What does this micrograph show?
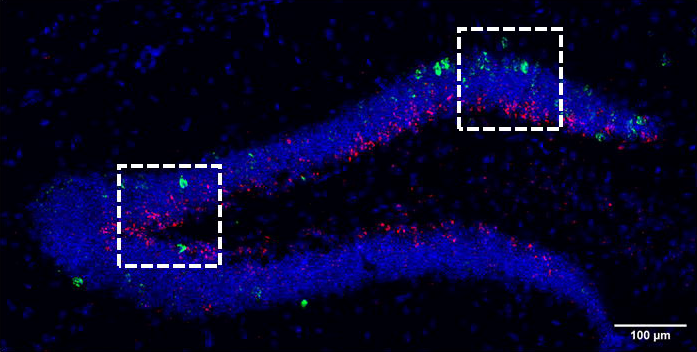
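A curved, two-bladed band of densely packed blue nuclei forms the cell layer of this section, surrounded by more sparsely scattered nuclei. A few scattered green cells lie mostly toward the outer edge of the upper blade, with occasional ones deeper in the layer. Two dashed boxes mark fields where green and red cells lie near each other.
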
